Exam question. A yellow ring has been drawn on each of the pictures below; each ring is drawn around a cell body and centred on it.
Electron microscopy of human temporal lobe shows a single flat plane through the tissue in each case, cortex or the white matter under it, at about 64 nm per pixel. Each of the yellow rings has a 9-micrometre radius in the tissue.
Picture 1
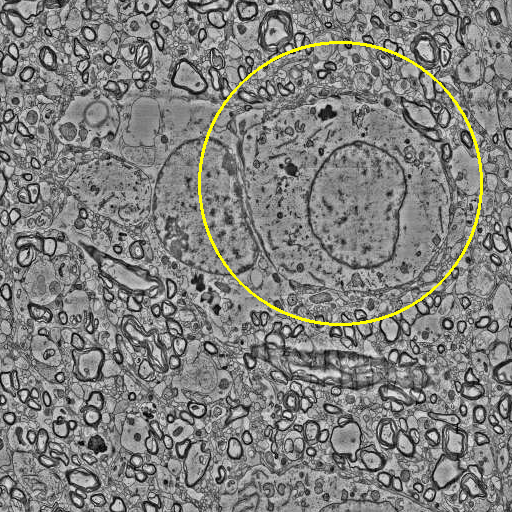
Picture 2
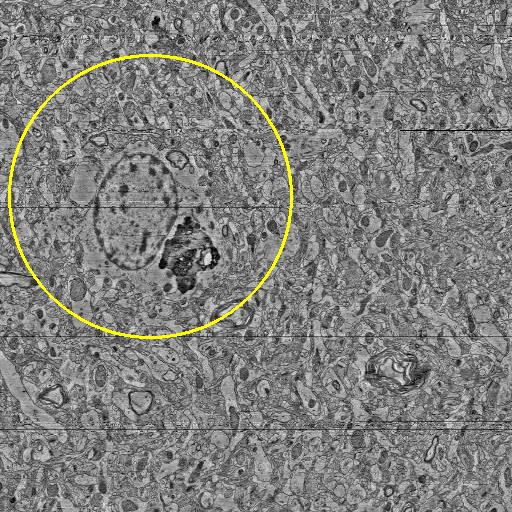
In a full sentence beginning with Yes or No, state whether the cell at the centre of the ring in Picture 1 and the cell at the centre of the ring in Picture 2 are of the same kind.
No, the cells are of two kinds.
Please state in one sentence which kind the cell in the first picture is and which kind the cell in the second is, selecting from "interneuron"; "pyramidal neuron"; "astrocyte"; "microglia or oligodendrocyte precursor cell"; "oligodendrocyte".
The first ringed cell is a pyramidal neuron, the second ringed cell an astrocyte.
